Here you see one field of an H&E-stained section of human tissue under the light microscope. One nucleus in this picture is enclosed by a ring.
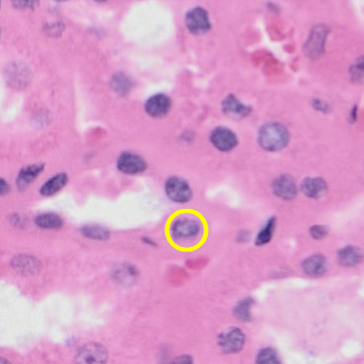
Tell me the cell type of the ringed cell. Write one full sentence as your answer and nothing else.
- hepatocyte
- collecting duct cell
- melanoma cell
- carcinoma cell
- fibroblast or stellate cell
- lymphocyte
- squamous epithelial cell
By cell type, the ringed cell is a collecting duct cell.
